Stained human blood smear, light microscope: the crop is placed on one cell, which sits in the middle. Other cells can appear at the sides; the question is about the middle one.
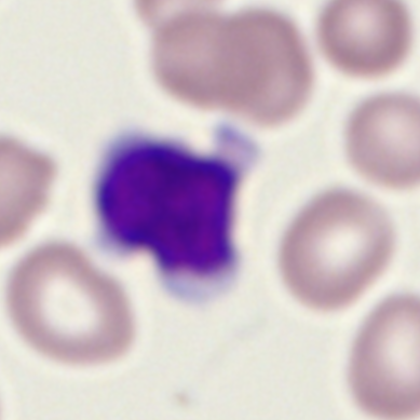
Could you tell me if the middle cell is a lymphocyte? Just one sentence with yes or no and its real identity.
Yes, the cell occupying the center is a lymphocyte.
